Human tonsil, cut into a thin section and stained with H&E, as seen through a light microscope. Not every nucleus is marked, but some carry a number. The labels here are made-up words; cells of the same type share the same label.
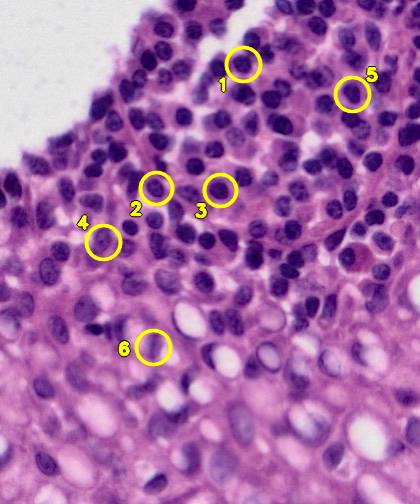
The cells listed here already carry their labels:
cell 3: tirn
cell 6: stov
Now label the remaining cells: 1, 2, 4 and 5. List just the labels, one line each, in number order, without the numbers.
tirn
tirn
stov
tirn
